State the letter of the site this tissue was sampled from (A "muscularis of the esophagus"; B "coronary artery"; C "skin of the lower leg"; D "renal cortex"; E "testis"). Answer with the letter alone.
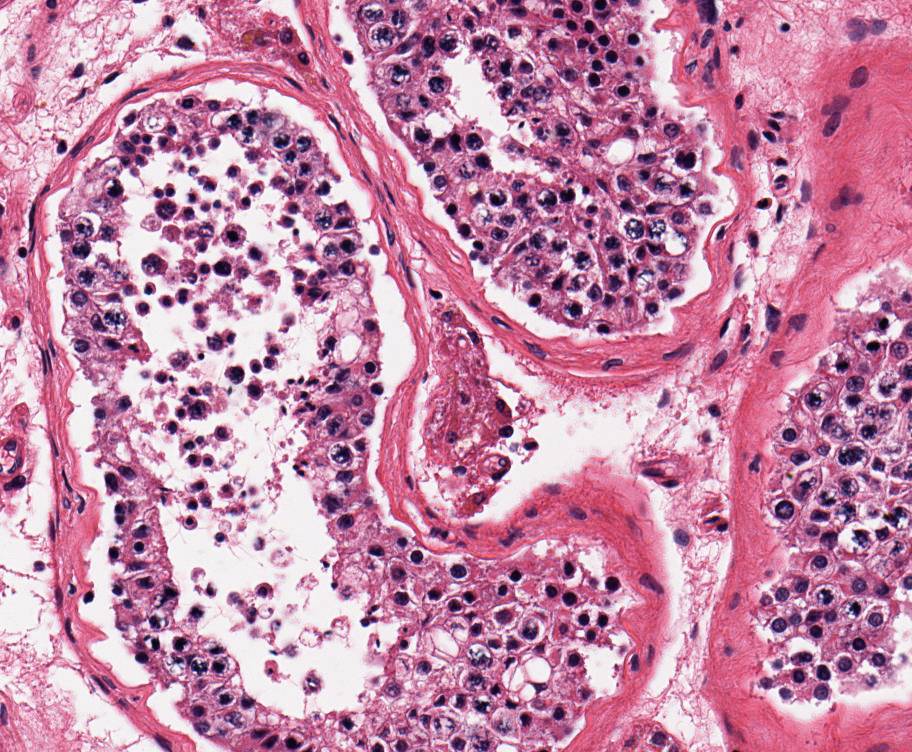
E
